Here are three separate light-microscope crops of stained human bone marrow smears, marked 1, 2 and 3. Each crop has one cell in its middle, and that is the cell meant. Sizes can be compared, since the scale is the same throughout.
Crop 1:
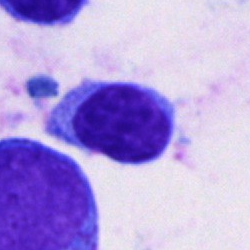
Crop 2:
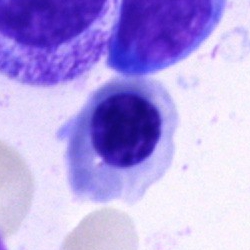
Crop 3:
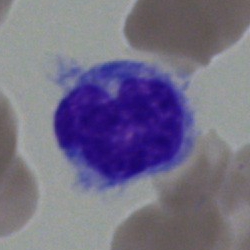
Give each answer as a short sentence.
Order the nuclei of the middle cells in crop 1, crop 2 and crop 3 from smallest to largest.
Going up, they run 2, 1, 3.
